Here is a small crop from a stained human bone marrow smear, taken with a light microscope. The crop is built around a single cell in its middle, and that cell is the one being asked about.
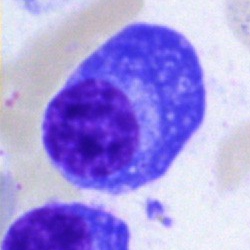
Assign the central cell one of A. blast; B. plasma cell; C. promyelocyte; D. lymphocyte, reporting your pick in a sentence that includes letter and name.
The cell in the center of this crop is a plasma cell, so option B is the one to pick.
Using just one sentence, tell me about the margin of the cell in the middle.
From every side, the cell boundary is smooth and free of projections.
